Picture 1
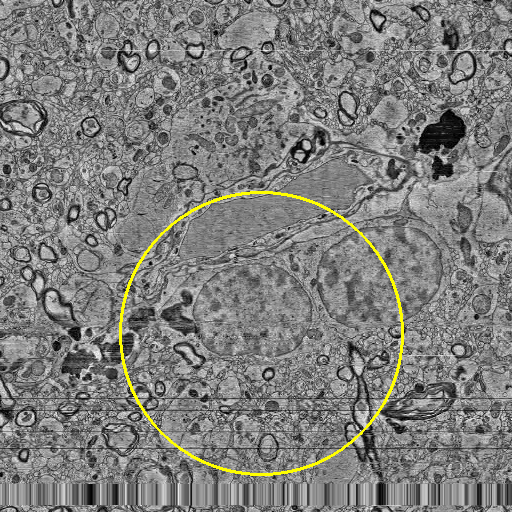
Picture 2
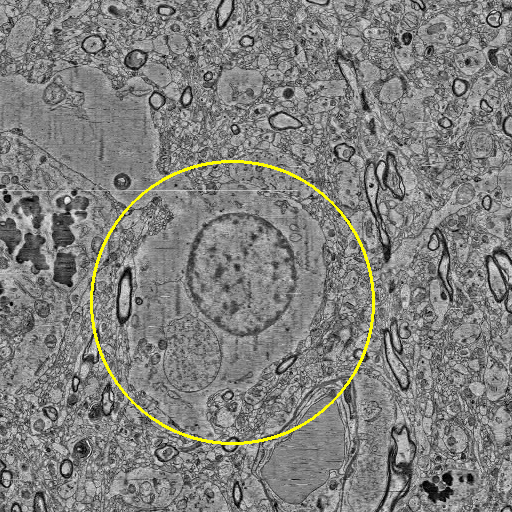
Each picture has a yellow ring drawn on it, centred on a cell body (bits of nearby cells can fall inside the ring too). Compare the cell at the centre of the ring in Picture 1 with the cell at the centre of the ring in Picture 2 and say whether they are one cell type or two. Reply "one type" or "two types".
two types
